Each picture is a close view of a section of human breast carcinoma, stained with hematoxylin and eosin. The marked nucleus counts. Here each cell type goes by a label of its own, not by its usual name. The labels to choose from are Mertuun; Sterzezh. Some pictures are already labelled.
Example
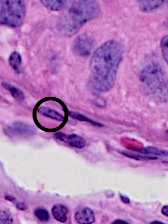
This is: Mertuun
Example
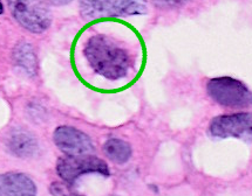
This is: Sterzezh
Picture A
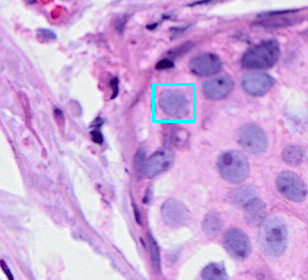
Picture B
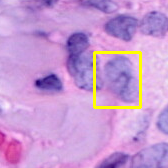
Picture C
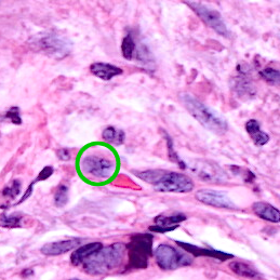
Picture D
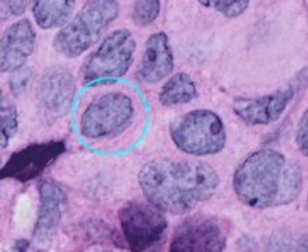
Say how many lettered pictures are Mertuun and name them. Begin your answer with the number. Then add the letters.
1: C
